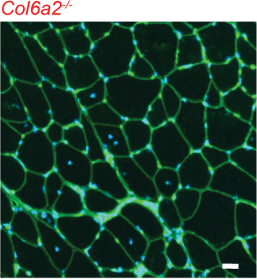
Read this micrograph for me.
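Transverse section of skeletal muscle in which green outlines trace the borders of polygonal myofibers of varied size. Blue nuclei mostly lie on the fiber borders, with a few inside fibers. Near the lower middle the space between fibers is widened with brighter green and clustered nuclei.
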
